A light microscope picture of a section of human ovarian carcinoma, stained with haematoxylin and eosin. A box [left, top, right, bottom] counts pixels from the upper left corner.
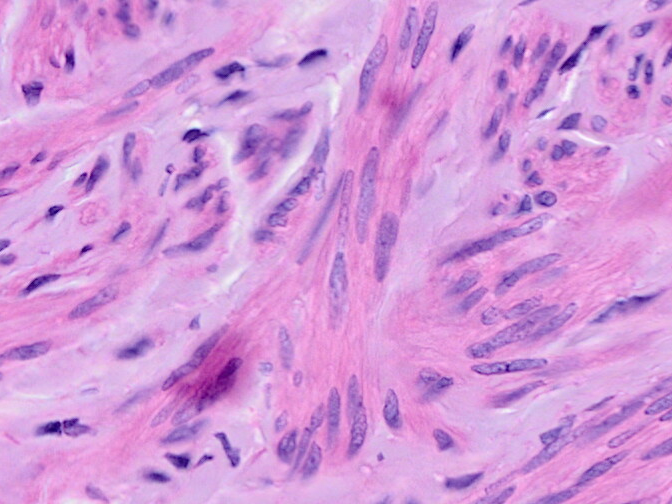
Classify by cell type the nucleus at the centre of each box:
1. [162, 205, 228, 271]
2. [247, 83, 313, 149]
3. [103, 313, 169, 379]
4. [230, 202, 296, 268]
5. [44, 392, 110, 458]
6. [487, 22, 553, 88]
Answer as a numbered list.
1. smooth muscle cell
2. smooth muscle cell
3. fibroblast
4. smooth muscle cell
5. fibroblast
6. smooth muscle cell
